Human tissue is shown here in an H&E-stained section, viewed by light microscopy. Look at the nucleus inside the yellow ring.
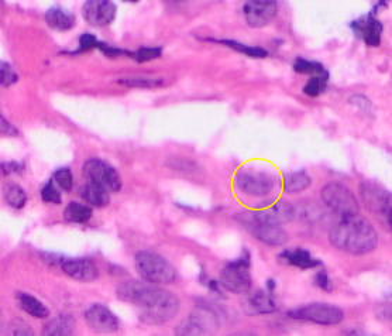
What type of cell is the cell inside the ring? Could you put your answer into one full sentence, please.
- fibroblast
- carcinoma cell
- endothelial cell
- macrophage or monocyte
Placed in its cell category, the cell inside the ring is a carcinoma cell.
